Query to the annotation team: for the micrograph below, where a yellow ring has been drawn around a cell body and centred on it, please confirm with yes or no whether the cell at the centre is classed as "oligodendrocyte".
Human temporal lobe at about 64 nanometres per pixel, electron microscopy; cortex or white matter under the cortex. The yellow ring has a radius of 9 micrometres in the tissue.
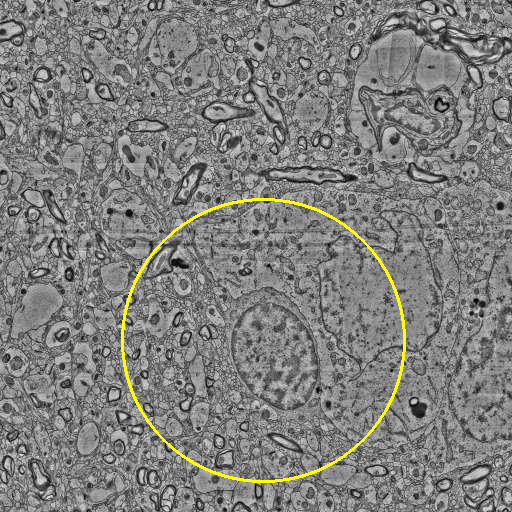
Yes, it is classed that way.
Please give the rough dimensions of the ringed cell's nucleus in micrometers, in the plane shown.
About 7 by 5 micrometres in this plane.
